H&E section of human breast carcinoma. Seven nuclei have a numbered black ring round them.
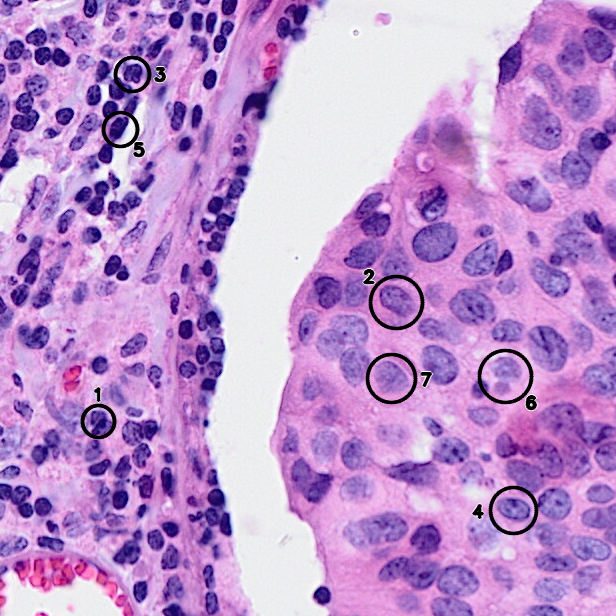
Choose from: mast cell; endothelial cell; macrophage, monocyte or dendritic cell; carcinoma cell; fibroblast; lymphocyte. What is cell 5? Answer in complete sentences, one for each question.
The nucleus marked 5 is the nucleus of a lymphocyte.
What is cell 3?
The cell pointed out as number 3 is a lymphocyte.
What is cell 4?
The label 4 in this section denotes a carcinoma cell.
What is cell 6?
Cell 6 should be recorded as a carcinoma cell.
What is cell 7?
That cell with number 7 is a carcinoma cell.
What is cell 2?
The cell indicated with the number 2 is classed as a carcinoma cell.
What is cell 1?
The cell identified by number 1 is a lymphocyte.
